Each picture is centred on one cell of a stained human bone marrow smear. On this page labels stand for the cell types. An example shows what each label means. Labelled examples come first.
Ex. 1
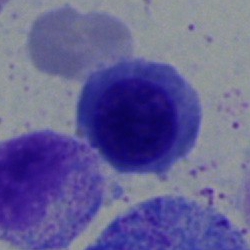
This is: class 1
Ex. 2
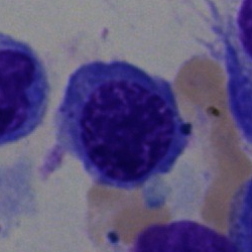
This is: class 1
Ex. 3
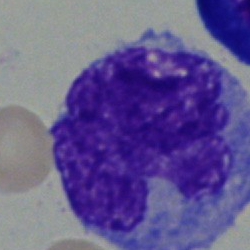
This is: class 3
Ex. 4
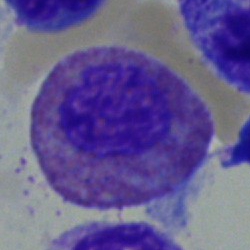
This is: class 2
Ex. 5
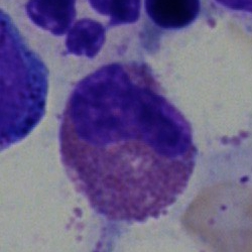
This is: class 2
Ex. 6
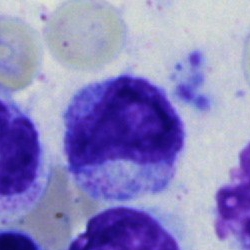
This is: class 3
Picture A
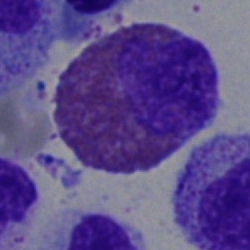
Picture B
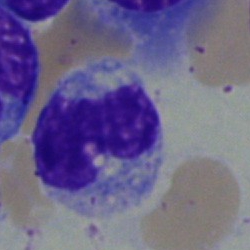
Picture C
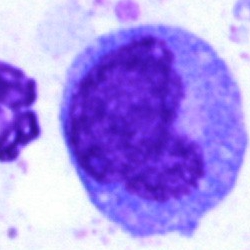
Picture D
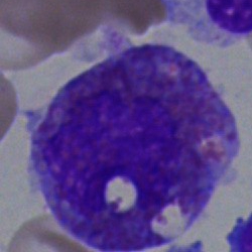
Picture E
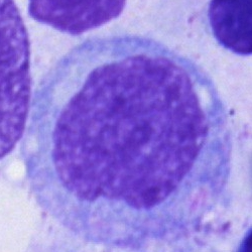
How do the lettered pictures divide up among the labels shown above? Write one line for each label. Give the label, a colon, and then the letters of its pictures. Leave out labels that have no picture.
class 3: B, C, E
class 2: A, D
